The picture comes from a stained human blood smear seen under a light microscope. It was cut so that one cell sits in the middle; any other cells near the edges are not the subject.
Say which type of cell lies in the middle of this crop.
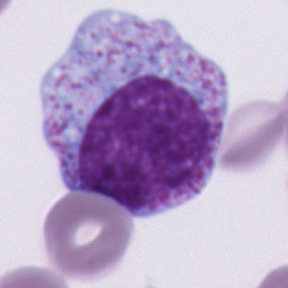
promyelocyte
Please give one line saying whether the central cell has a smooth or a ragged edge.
No smooth contour is present; the border is ragged or extended into projections.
